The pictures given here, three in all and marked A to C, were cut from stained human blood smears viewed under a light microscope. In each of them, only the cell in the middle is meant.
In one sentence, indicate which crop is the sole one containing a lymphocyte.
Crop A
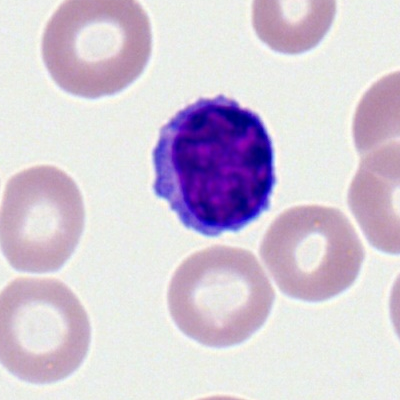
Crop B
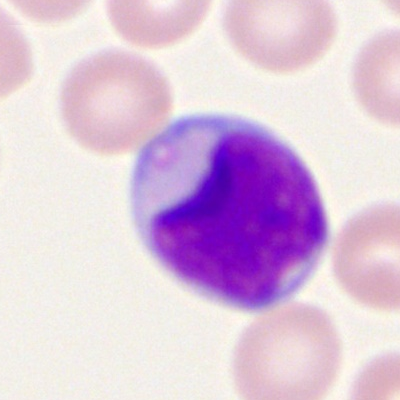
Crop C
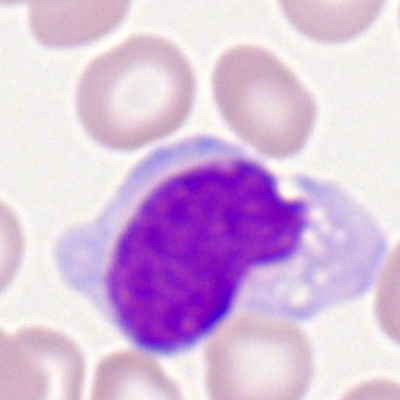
The cell identified as a lymphocyte is the one in crop A.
